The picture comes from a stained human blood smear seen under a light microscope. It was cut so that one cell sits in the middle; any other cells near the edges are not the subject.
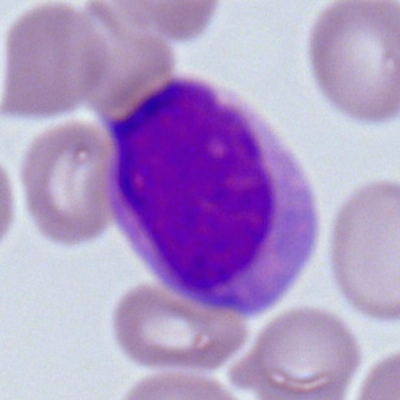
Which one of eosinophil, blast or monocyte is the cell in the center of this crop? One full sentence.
What the crop centres on is a blast.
